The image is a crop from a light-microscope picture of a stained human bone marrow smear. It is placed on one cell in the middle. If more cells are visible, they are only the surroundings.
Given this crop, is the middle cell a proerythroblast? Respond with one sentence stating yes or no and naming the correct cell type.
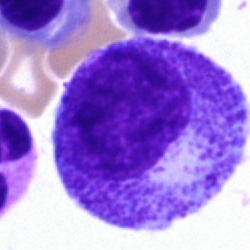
No, the cell in the middle is correctly named a promyelocyte, not a proerythroblast.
